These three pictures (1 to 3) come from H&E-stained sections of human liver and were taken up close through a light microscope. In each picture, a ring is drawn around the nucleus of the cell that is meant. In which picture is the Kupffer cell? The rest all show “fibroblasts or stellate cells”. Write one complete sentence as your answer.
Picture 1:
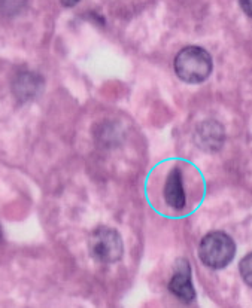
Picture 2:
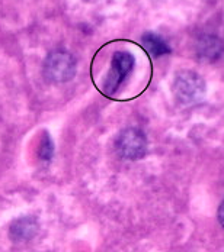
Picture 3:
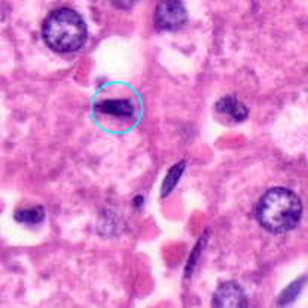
Picture 2 shows the Kupffer cell.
